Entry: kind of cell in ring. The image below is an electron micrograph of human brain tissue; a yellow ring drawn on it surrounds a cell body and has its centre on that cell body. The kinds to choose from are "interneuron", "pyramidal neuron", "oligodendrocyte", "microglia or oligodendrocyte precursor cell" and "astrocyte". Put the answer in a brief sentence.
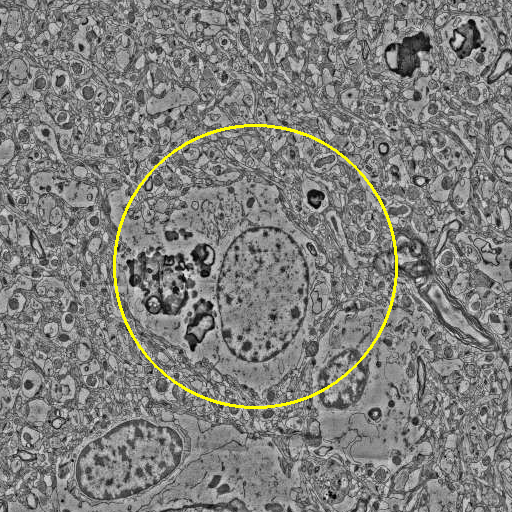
The ring has been drawn around an astrocyte.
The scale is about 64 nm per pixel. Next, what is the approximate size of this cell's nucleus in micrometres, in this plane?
In this plane, roughly 9 by 6 micrometres.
